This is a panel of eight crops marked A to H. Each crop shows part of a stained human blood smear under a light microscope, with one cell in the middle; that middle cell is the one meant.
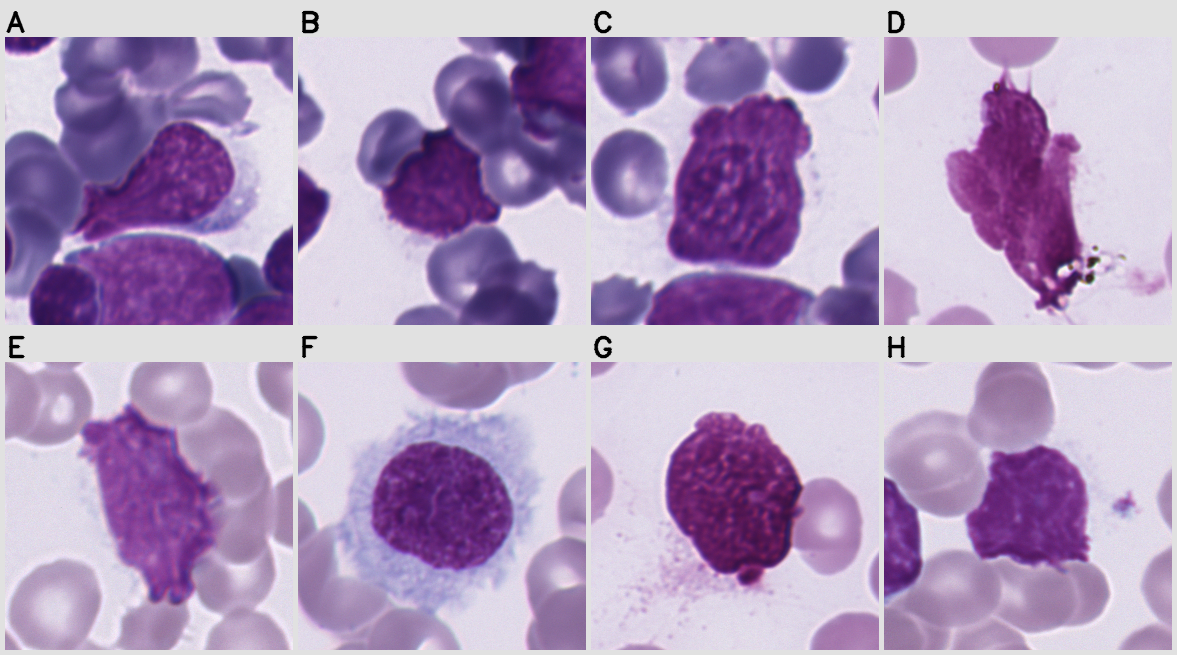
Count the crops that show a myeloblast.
1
